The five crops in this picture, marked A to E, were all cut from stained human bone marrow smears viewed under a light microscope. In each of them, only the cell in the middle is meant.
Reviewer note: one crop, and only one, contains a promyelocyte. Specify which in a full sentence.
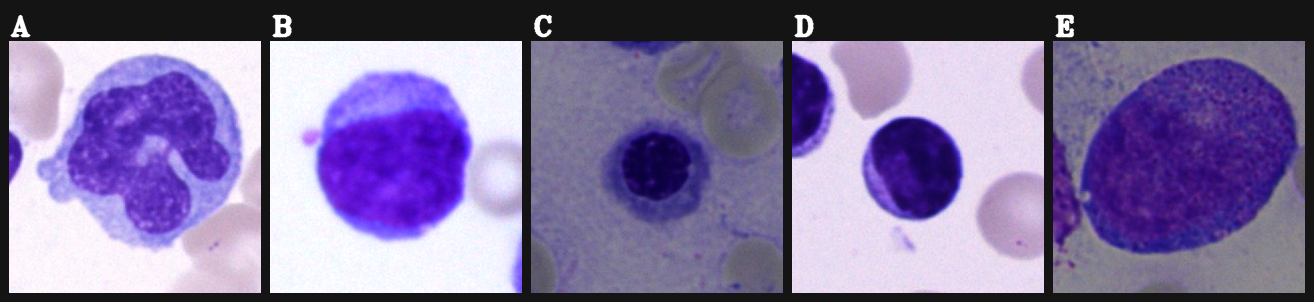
The one showing a promyelocyte is crop E.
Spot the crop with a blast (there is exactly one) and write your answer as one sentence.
Crop B is the one depicting a blast.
